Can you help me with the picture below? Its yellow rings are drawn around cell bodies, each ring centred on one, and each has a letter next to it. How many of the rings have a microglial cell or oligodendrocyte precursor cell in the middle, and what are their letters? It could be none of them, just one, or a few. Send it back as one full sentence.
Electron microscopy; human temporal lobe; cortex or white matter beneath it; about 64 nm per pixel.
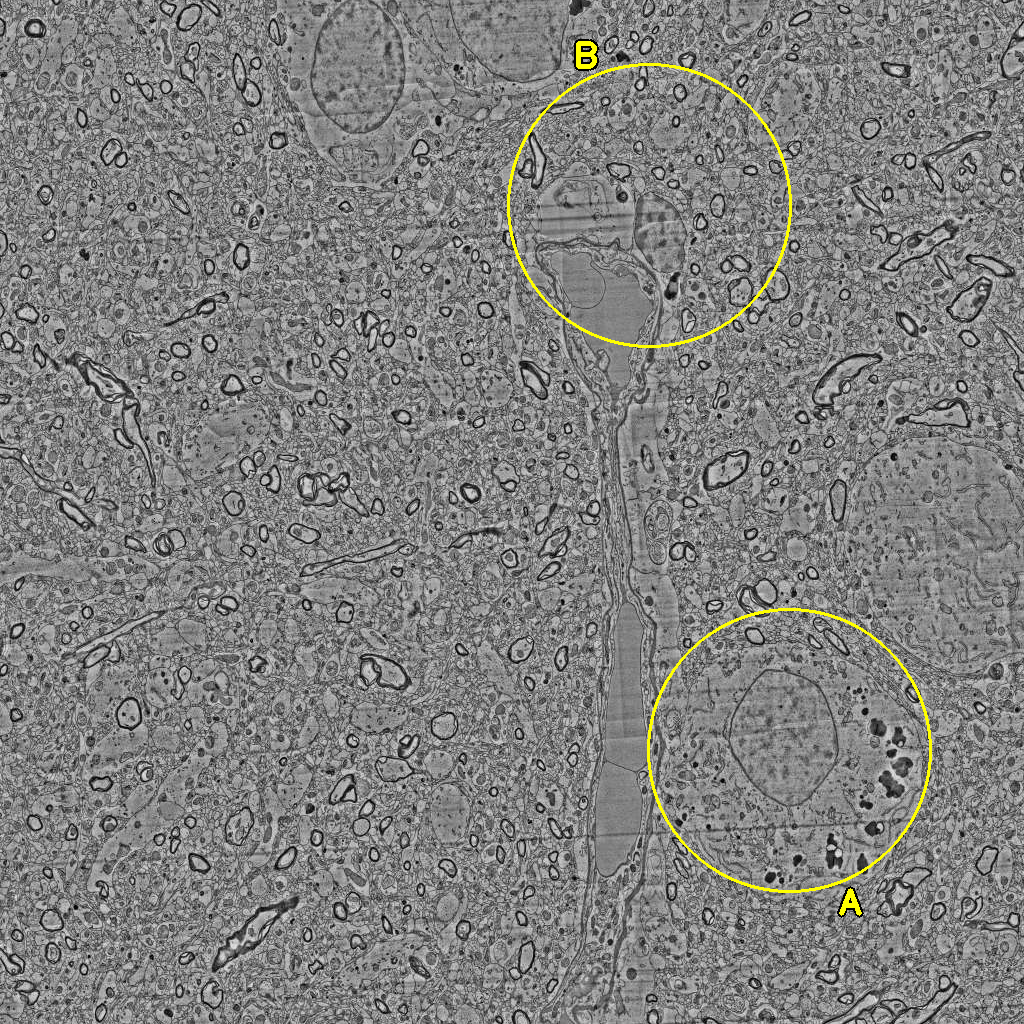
Only one ring has a microglial cell or oligodendrocyte precursor cell at its centre, the ring with the letter B.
